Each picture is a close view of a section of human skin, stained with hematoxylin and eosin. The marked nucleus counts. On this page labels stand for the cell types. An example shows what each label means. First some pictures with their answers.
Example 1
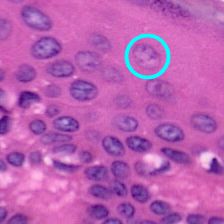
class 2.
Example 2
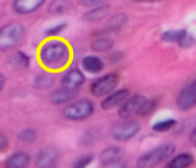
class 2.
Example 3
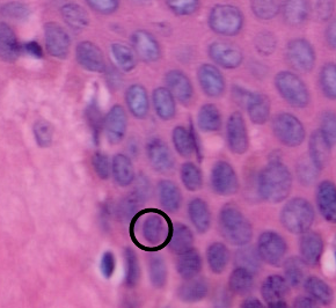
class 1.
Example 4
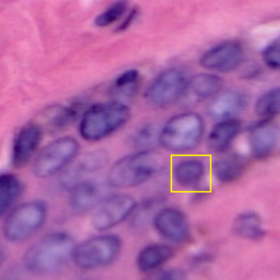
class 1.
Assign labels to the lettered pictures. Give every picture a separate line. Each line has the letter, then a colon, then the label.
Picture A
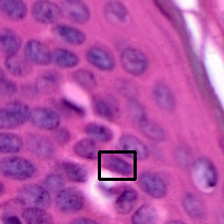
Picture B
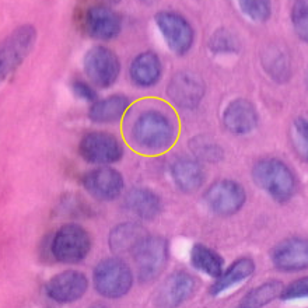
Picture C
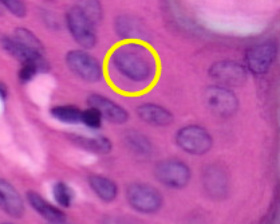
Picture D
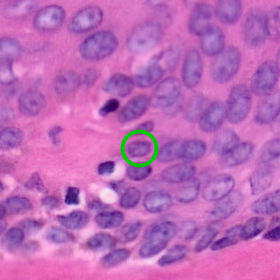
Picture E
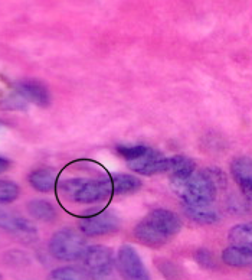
A: class 1.
B: class 2.
C: class 2.
D: class 1.
E: class 1.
